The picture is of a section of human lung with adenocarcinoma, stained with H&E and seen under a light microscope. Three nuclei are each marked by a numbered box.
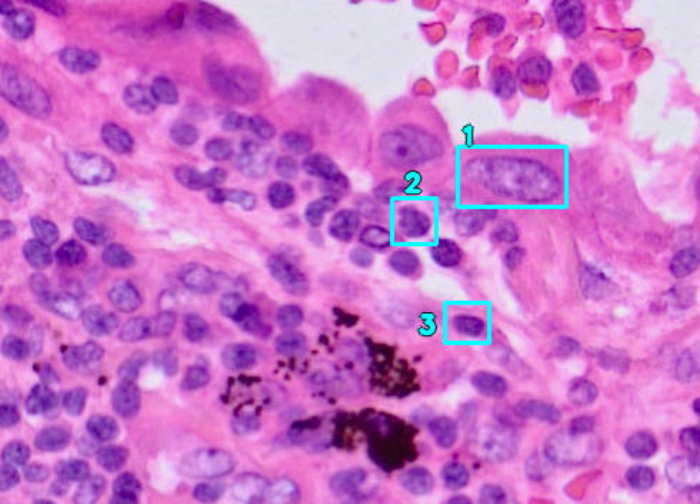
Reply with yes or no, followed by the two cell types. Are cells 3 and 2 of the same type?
Yes, cells 3 and 2 are, both of them, lymphocytes.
